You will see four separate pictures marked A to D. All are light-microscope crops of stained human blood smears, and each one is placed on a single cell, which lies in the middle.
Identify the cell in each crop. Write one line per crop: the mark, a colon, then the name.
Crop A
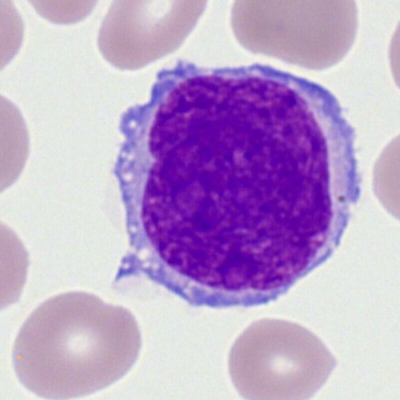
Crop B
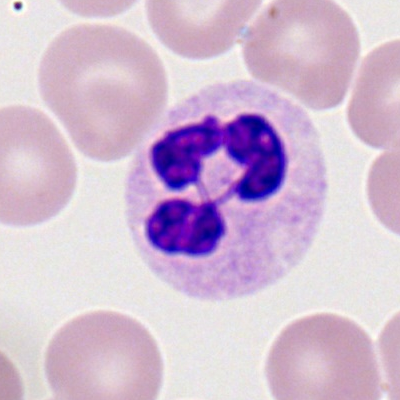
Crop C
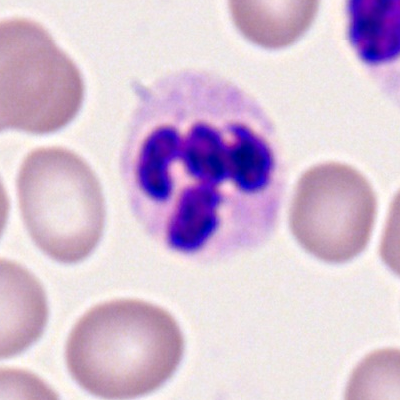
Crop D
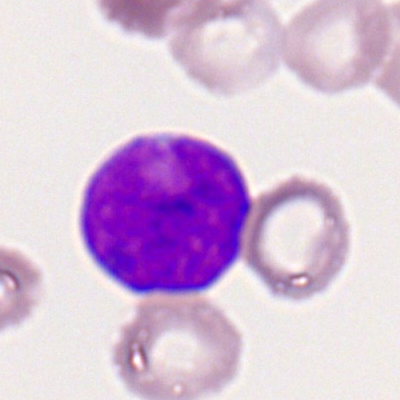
A: myeloblast
B: segmented neutrophil
C: segmented neutrophil
D: myeloblast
